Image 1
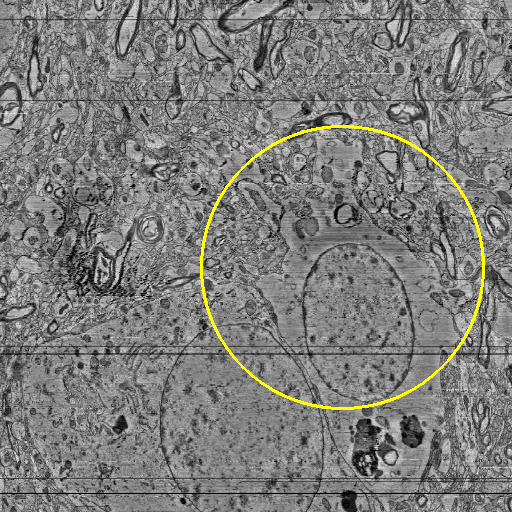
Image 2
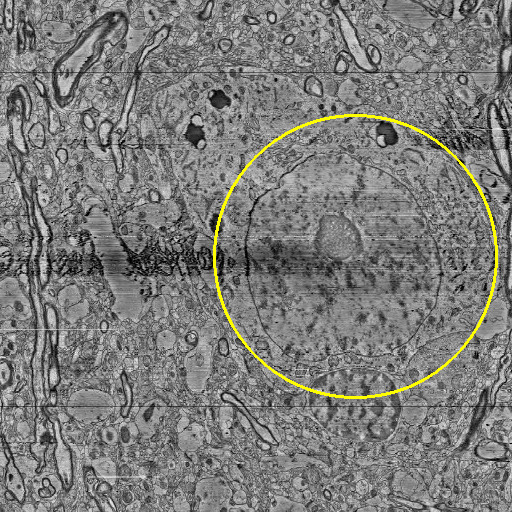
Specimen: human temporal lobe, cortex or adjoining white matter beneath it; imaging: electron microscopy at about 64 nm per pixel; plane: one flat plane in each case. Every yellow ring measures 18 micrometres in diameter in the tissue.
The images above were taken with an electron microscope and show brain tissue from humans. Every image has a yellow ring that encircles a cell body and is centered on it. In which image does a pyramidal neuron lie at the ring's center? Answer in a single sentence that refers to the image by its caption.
In Image 2, the cell at the center of the yellow ring is the correct match.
